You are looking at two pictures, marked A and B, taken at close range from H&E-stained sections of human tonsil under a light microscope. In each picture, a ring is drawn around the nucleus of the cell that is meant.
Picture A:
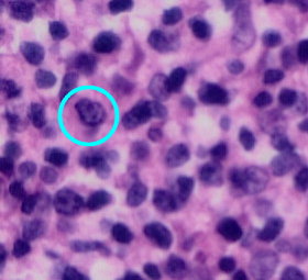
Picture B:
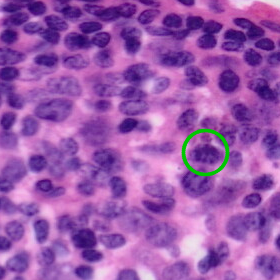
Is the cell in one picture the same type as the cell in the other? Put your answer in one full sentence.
Yes; the cells in both pictures are proliferating B cells.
